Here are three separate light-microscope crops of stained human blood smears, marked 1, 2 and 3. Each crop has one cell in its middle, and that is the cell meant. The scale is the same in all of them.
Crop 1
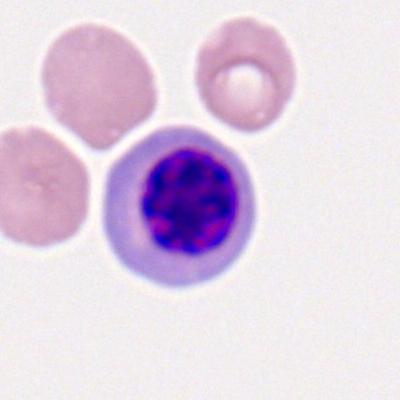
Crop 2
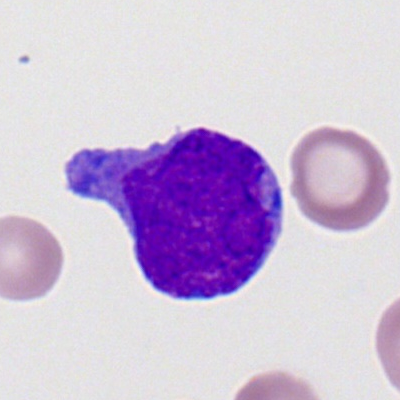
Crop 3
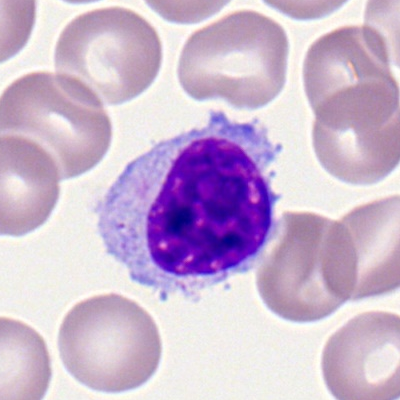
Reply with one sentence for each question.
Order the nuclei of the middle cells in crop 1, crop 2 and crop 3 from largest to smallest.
The order is 2, 3, 1, beginning with the largest.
